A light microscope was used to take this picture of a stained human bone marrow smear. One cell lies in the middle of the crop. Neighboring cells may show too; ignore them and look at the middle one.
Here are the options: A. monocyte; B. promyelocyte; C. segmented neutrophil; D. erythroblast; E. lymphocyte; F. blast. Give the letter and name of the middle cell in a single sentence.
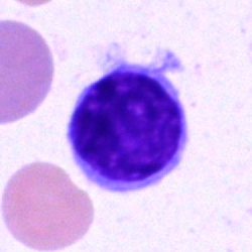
Well, the cell in the middle is a lymphocyte, making option E right.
